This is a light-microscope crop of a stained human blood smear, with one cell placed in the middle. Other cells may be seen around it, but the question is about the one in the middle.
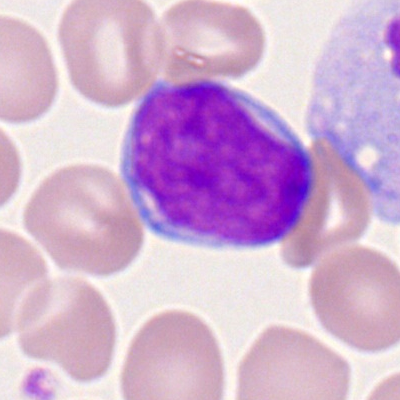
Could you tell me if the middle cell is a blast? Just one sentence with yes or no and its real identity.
Yes, the cell at the very centre of the crop is a blast.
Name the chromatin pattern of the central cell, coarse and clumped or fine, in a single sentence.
Answer: the chromatin in this nucleus is coarsely clumped.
